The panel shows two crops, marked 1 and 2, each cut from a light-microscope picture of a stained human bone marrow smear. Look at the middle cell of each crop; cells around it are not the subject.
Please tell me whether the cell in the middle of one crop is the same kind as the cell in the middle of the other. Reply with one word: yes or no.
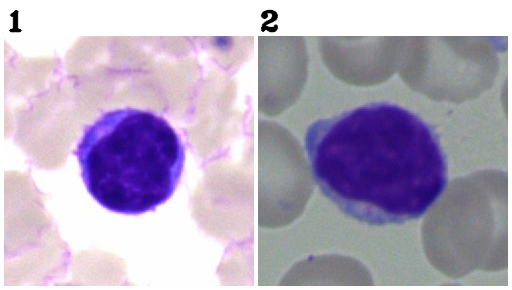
yes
